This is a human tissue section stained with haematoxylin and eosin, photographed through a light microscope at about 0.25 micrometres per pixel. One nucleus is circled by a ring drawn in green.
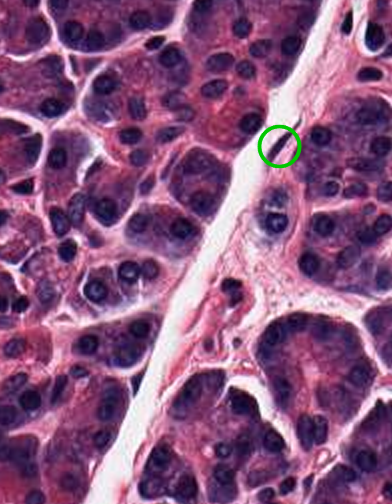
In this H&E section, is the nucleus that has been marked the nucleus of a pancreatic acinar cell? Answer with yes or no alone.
no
